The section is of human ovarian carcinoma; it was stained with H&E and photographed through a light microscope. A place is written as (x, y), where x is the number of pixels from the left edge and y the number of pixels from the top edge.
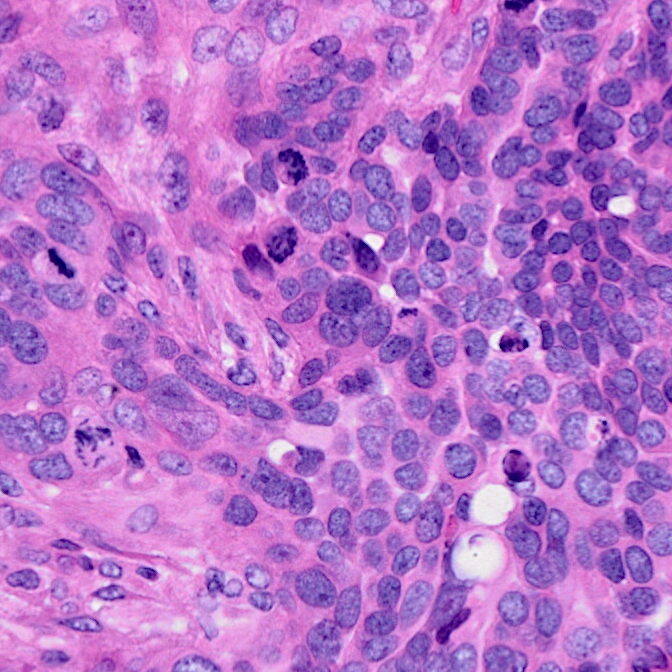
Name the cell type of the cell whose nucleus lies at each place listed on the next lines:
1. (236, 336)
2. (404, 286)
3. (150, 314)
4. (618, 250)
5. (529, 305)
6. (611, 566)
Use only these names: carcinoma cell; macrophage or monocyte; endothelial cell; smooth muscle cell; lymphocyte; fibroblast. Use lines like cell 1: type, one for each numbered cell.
cell 1: fibroblast
cell 2: carcinoma cell
cell 3: fibroblast
cell 4: carcinoma cell
cell 5: carcinoma cell
cell 6: carcinoma cell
